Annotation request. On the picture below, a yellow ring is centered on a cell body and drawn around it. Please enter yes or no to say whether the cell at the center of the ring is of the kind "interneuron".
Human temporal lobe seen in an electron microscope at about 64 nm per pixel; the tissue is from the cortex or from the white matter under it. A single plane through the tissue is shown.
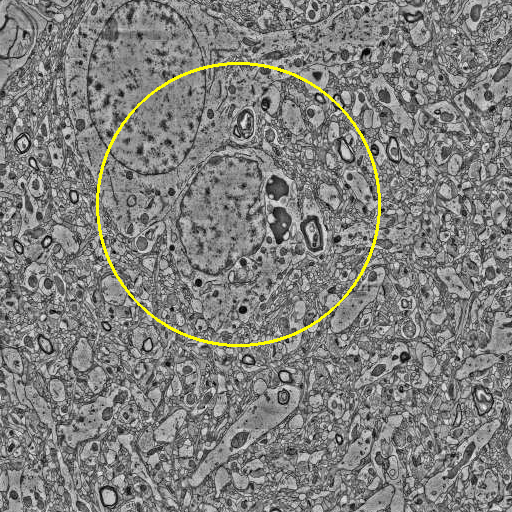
yes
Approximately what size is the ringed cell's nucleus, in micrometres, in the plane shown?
Approximately 8 by 6 micrometers in this plane.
